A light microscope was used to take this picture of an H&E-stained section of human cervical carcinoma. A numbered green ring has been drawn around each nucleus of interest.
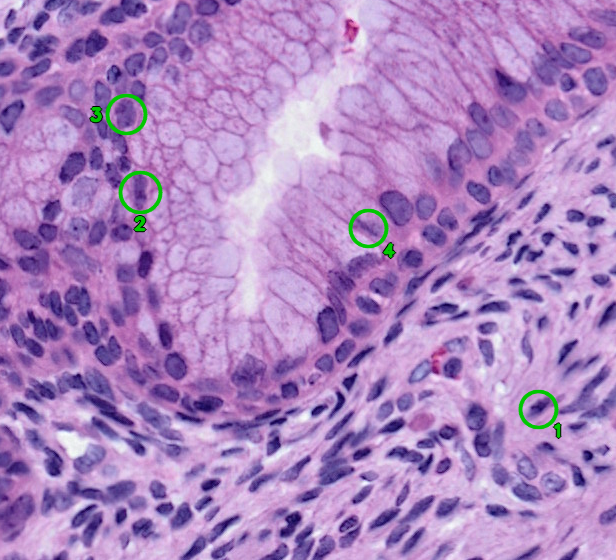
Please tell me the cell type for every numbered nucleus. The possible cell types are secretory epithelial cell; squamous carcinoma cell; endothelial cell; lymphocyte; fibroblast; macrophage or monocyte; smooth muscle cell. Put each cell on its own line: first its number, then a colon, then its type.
1: fibroblast
2: secretory epithelial cell
3: secretory epithelial cell
4: secretory epithelial cell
